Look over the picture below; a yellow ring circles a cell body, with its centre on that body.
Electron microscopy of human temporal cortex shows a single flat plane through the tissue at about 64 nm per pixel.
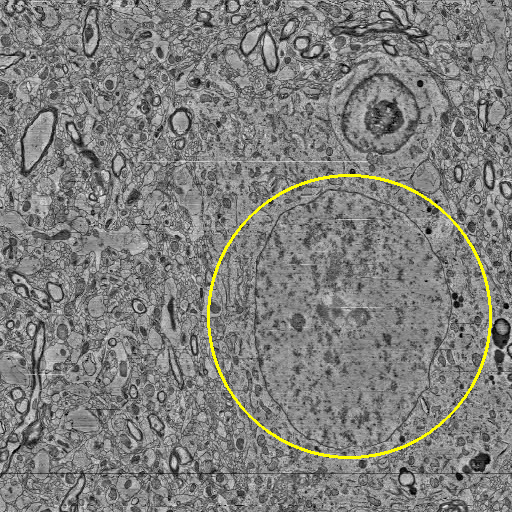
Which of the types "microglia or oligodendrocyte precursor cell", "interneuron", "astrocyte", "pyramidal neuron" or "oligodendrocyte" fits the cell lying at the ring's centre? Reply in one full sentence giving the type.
The picture shows a pyramidal neuron at the centre of the yellow ring.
